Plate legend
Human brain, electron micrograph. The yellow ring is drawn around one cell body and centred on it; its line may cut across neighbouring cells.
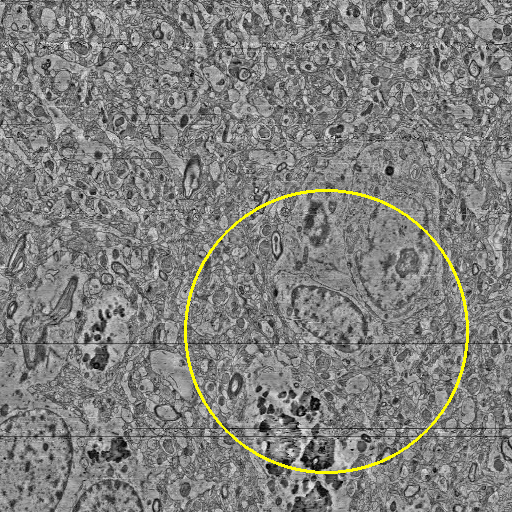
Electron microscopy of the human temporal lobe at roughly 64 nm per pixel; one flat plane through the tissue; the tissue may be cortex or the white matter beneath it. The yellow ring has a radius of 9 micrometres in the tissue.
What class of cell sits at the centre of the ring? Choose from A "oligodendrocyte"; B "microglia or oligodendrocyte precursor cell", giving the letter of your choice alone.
B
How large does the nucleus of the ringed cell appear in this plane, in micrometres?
The nucleus is approximately 6 micrometers long by 3 micrometers wide in this plane.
